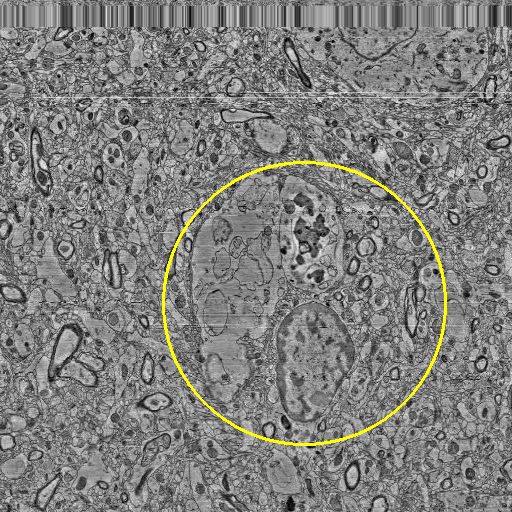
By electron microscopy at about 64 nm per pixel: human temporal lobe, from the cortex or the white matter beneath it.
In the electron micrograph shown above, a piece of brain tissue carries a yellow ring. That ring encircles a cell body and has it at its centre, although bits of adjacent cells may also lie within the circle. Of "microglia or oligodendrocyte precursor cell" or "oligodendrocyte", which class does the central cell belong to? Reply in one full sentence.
The cell body at the centre of the yellow ring belongs to a microglial cell or oligodendrocyte precursor cell.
